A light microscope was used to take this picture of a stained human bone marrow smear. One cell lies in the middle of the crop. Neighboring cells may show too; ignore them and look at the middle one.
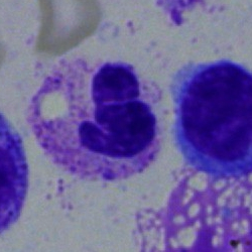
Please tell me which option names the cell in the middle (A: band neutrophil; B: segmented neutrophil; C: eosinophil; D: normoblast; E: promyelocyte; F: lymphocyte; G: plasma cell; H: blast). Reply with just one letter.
B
